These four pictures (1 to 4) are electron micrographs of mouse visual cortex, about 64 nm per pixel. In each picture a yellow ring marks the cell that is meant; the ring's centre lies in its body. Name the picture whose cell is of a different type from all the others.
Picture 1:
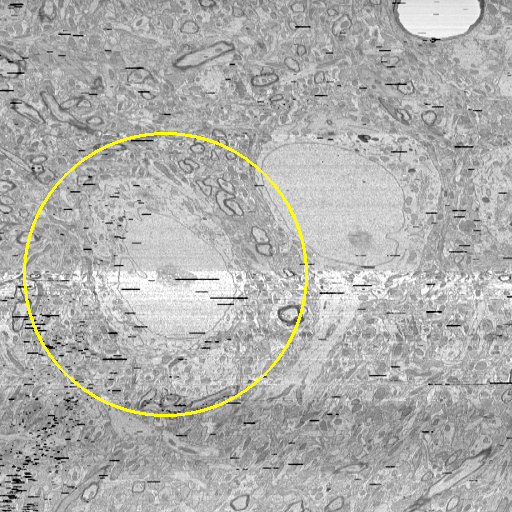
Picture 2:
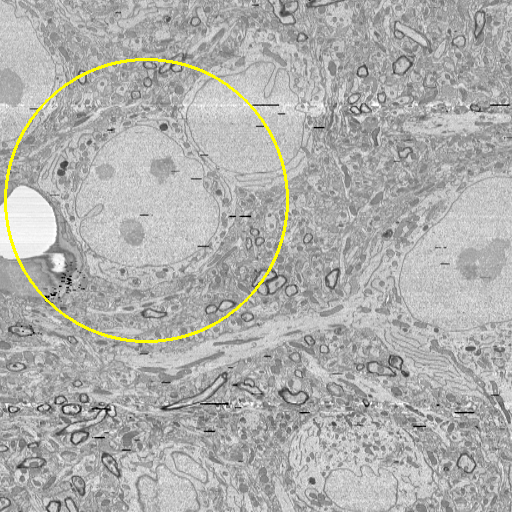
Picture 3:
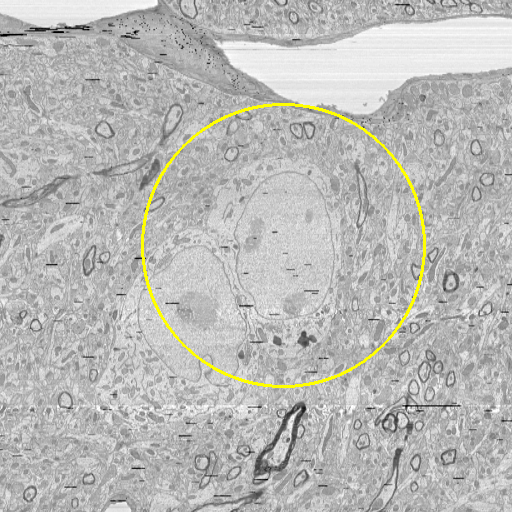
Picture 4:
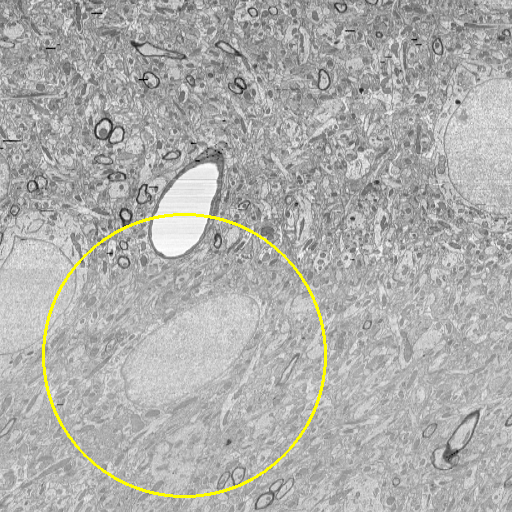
Picture 4 is the odd one out: it shows an astrocyte, while the others show excitatory neurons.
